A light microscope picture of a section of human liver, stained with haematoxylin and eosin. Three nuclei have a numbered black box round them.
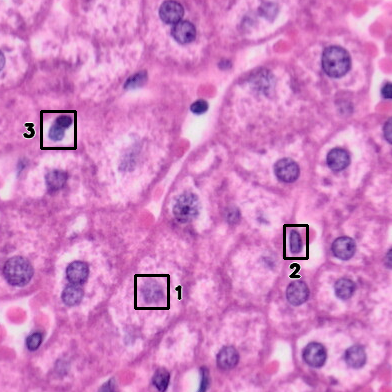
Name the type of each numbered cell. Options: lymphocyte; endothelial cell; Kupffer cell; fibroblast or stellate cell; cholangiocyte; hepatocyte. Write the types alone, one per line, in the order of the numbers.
hepatocyte
Kupffer cell
lymphocyte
